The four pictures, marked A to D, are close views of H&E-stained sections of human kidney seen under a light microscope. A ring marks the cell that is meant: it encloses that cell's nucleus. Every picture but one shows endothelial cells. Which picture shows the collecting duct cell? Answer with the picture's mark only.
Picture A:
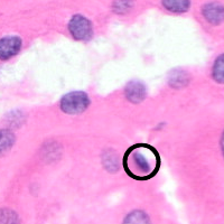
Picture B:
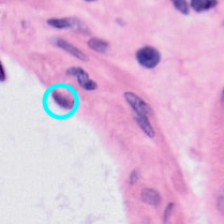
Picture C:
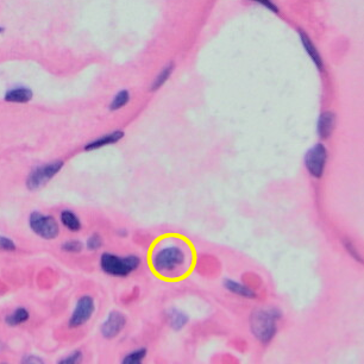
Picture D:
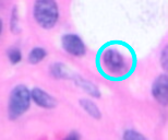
D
